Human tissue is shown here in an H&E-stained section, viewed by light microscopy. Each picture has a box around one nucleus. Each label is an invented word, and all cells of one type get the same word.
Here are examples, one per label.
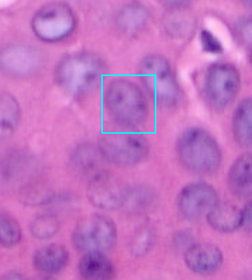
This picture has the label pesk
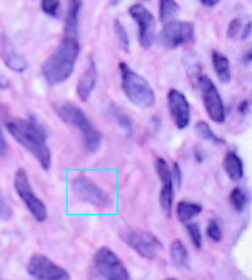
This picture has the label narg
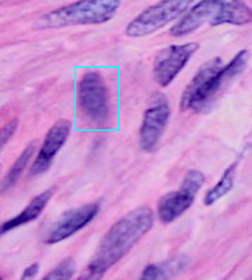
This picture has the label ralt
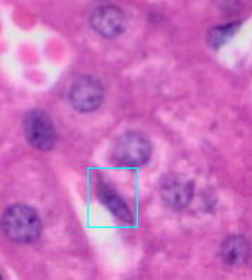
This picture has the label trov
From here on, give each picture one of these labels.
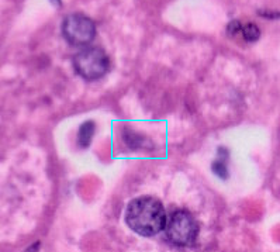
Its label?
trov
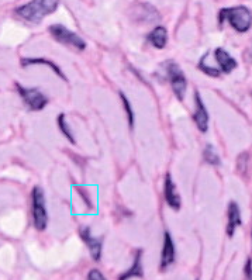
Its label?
narg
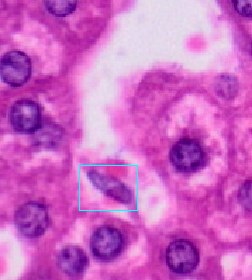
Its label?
trov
